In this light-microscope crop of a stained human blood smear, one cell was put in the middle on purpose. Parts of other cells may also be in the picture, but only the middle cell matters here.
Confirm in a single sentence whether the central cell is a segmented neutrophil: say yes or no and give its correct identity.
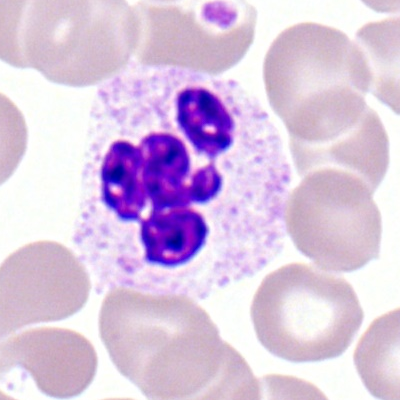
Yes, the centered cell in this field is a segmented neutrophil.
